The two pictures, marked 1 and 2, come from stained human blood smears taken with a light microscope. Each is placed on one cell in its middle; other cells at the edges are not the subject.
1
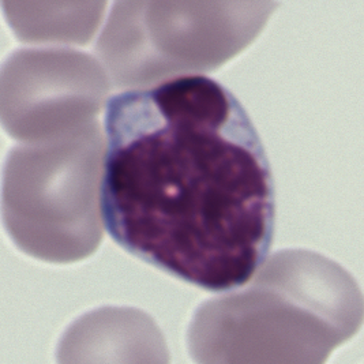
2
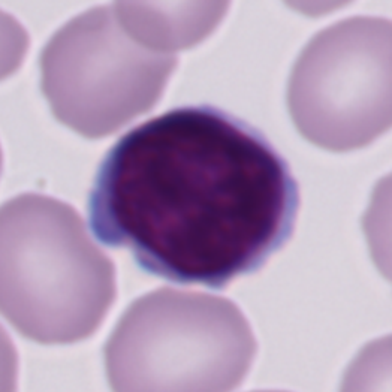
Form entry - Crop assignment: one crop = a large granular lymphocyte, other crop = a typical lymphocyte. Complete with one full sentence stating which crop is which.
Crop 1 is a large granular lymphocyte, whilst crop 2 is a typical lymphocyte.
